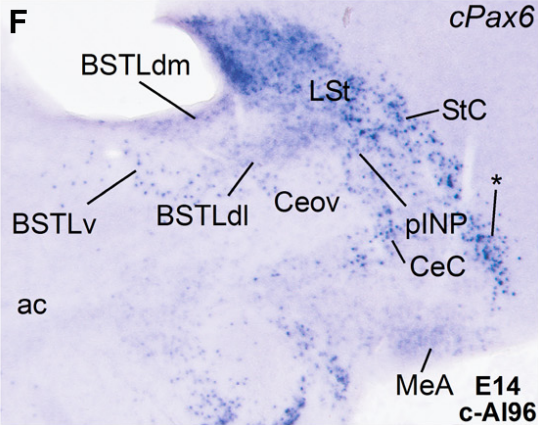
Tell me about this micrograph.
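Just beneath the ventricle at the top there is a broad, densely stained band, from which a stream of separate dark blue dots runs downward and outward. Toward the right edge these dots gather into a compact clump of strongly labelled cells, while further left and lower down more scattered dots and paler diffuse staining are seen against an almost unstained background.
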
